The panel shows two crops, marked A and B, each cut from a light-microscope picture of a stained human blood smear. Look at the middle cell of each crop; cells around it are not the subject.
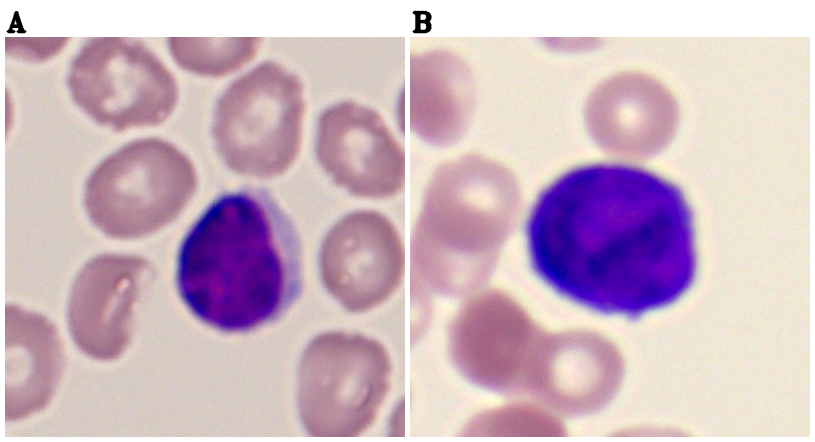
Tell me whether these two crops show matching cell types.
no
